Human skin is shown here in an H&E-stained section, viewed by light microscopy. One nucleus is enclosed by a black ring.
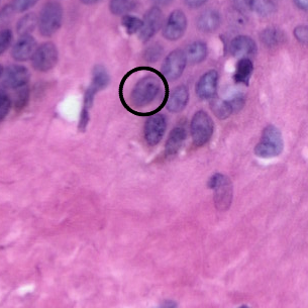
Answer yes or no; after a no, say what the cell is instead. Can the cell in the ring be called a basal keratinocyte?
Yes.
